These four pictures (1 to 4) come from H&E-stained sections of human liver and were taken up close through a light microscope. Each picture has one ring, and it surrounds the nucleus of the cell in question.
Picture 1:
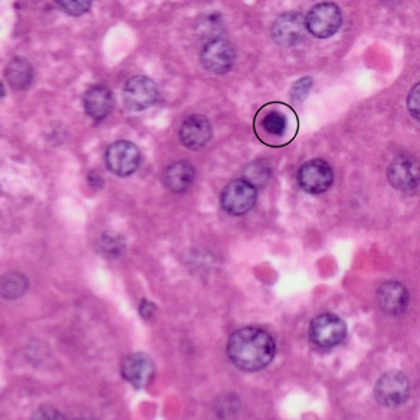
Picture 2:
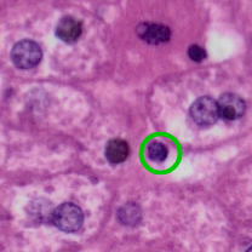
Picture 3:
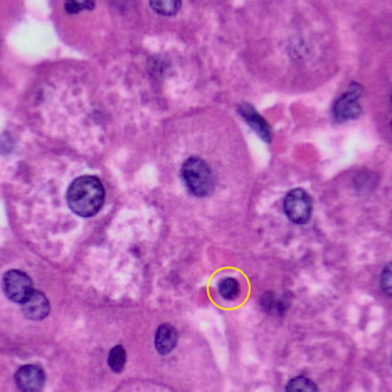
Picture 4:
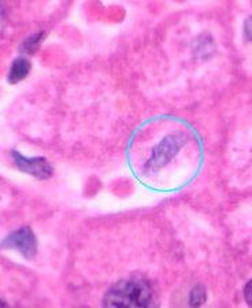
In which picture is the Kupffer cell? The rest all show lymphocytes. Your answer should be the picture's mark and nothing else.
4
